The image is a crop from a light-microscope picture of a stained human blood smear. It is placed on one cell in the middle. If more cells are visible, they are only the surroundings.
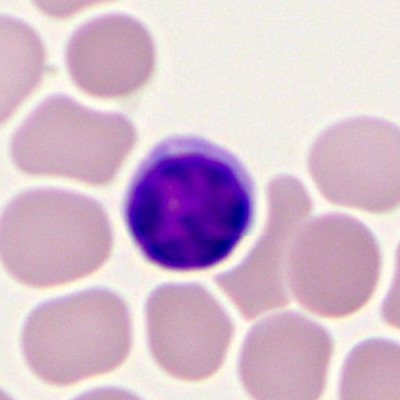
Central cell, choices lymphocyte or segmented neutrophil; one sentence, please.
The cell of interest, located centrally, is a lymphocyte.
